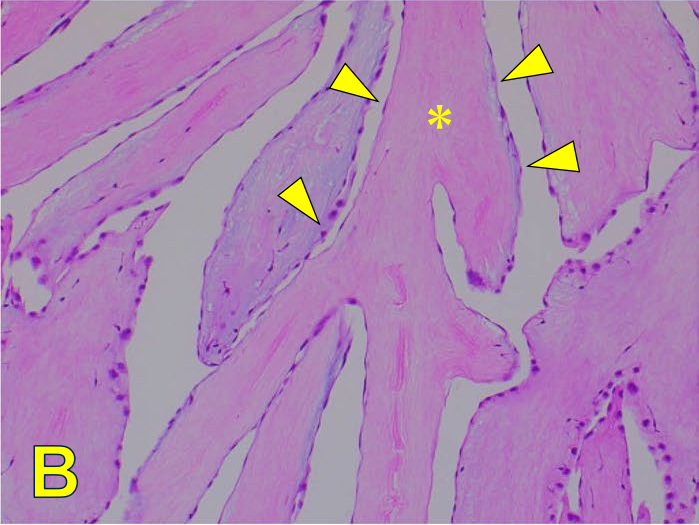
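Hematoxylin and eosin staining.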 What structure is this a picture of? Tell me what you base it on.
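Many long, narrow finger-like projections branch from a central stalk. The projections are separated by clear empty spaces. Each projection has a pink core lined by a single layer of flattened cells.
Fronded papillary lesion.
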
